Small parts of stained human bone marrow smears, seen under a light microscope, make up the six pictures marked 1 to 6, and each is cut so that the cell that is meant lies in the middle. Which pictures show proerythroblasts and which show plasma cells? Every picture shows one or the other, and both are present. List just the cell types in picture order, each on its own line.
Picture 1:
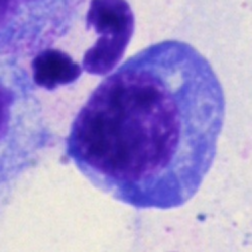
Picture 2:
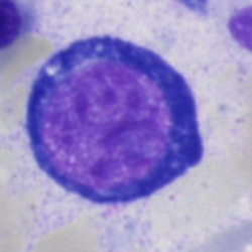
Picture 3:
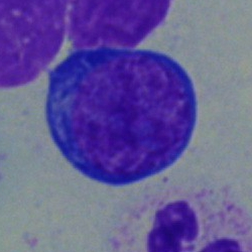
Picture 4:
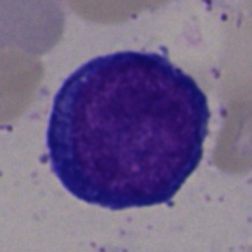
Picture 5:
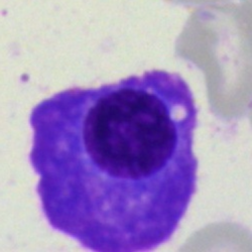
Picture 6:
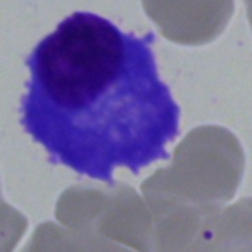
plasma cell
proerythroblast
proerythroblast
proerythroblast
plasma cell
plasma cell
